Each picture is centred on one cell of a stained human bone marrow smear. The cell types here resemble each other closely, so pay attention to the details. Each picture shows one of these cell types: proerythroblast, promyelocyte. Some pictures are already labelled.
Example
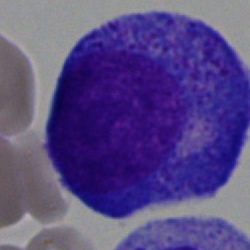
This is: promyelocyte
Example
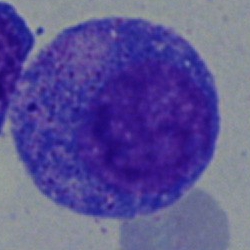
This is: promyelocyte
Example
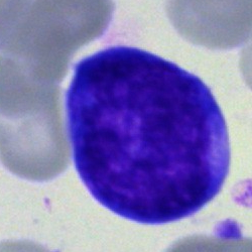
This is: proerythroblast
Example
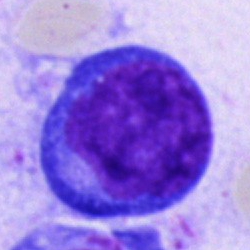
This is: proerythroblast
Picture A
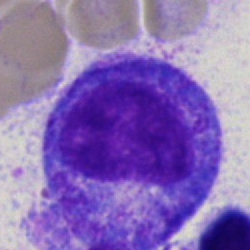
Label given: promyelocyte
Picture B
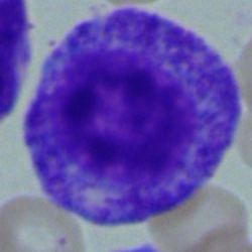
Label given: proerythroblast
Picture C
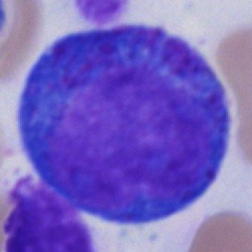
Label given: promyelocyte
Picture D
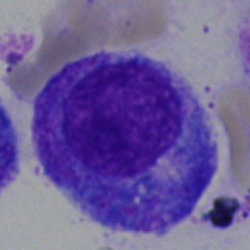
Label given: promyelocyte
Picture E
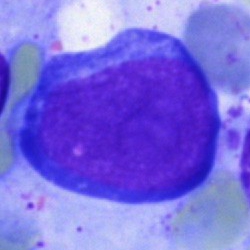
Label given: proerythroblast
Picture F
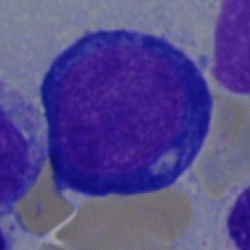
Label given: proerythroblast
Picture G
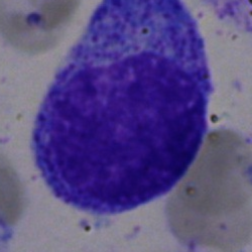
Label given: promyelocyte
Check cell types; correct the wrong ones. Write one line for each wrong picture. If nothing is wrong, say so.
B: change proerythroblast to promyelocyte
